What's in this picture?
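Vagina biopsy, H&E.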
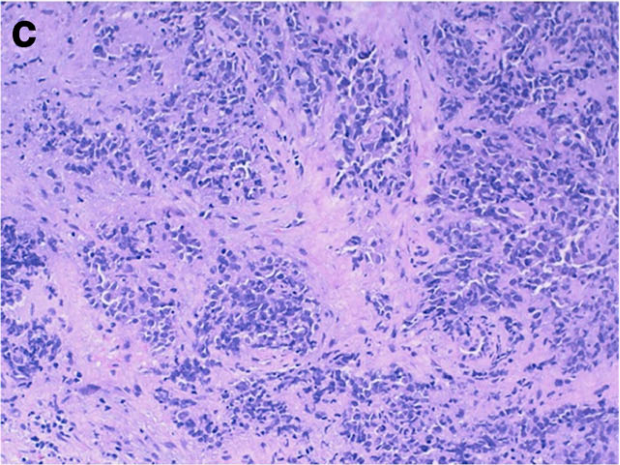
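Tissue infiltrated by a solid tumour made of sheets and nests of uniform, closely packed cells. The cells have small, dark, oval nuclei and scant cytoplasm, and the nests are separated by bands of pink fibrous stroma.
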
